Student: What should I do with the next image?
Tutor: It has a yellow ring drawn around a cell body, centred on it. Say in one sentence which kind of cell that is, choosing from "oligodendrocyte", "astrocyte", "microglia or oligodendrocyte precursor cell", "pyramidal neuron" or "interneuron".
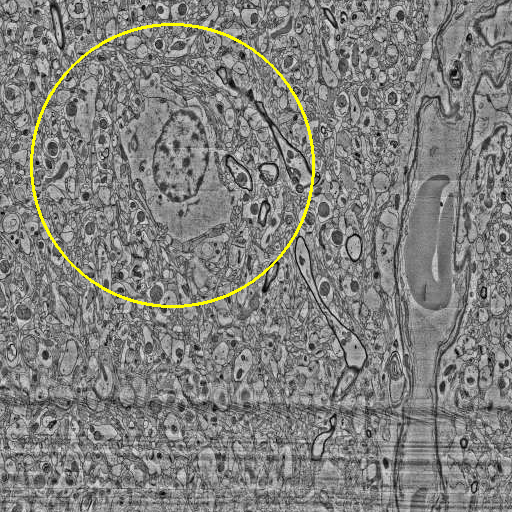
The ring's centre is occupied by an astrocyte.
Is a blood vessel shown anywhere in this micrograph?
Yes.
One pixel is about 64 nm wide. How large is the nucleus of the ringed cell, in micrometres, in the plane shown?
The ringed cell's nucleus is roughly 6 by 4 micrometres and clearly longer than it is wide in this plane.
